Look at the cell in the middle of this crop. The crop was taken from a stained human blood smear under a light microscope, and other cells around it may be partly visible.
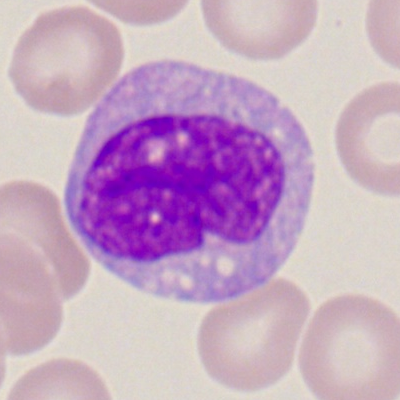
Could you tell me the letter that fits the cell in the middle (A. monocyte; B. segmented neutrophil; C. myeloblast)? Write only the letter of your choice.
A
